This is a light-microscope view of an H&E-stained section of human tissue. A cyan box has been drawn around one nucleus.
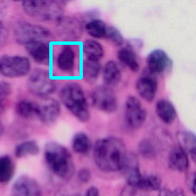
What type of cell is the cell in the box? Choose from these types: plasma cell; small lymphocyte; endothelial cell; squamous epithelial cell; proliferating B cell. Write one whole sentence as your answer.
In cellular terms, the cell in the box is a proliferating B cell.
